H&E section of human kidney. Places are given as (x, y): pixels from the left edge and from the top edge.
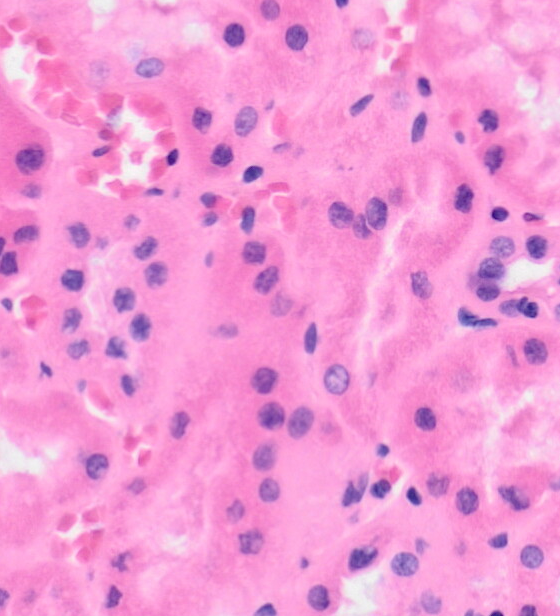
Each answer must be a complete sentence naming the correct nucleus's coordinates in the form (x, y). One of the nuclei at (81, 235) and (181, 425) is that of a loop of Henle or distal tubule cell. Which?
Out of the two, it is the nucleus at (81, 235) that belongs to a loop of Henle or distal tubule cell.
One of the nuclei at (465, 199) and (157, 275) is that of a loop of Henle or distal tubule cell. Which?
The nucleus at (157, 275) is identified as belonging to a loop of Henle or distal tubule cell.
